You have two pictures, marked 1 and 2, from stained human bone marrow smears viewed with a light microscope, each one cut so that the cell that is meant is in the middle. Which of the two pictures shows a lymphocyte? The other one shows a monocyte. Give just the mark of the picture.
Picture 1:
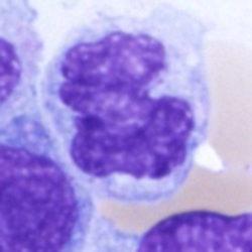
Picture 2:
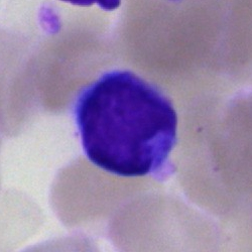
2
